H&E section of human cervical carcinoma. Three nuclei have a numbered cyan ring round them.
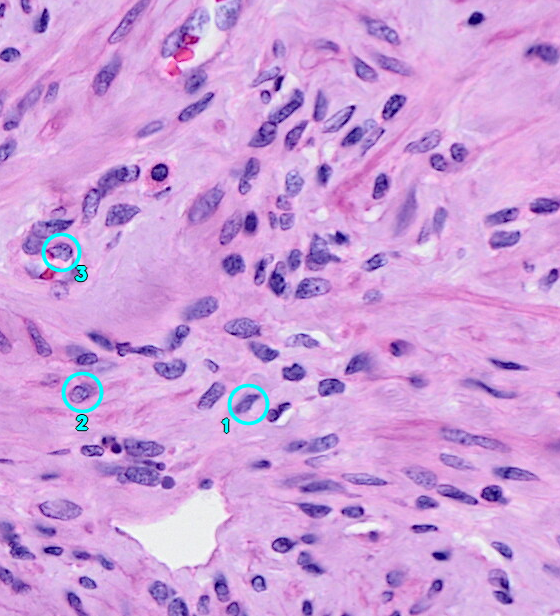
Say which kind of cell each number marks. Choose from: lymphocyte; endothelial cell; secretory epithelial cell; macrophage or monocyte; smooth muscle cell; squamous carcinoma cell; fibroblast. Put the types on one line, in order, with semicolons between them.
fibroblast; smooth muscle cell; endothelial cell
